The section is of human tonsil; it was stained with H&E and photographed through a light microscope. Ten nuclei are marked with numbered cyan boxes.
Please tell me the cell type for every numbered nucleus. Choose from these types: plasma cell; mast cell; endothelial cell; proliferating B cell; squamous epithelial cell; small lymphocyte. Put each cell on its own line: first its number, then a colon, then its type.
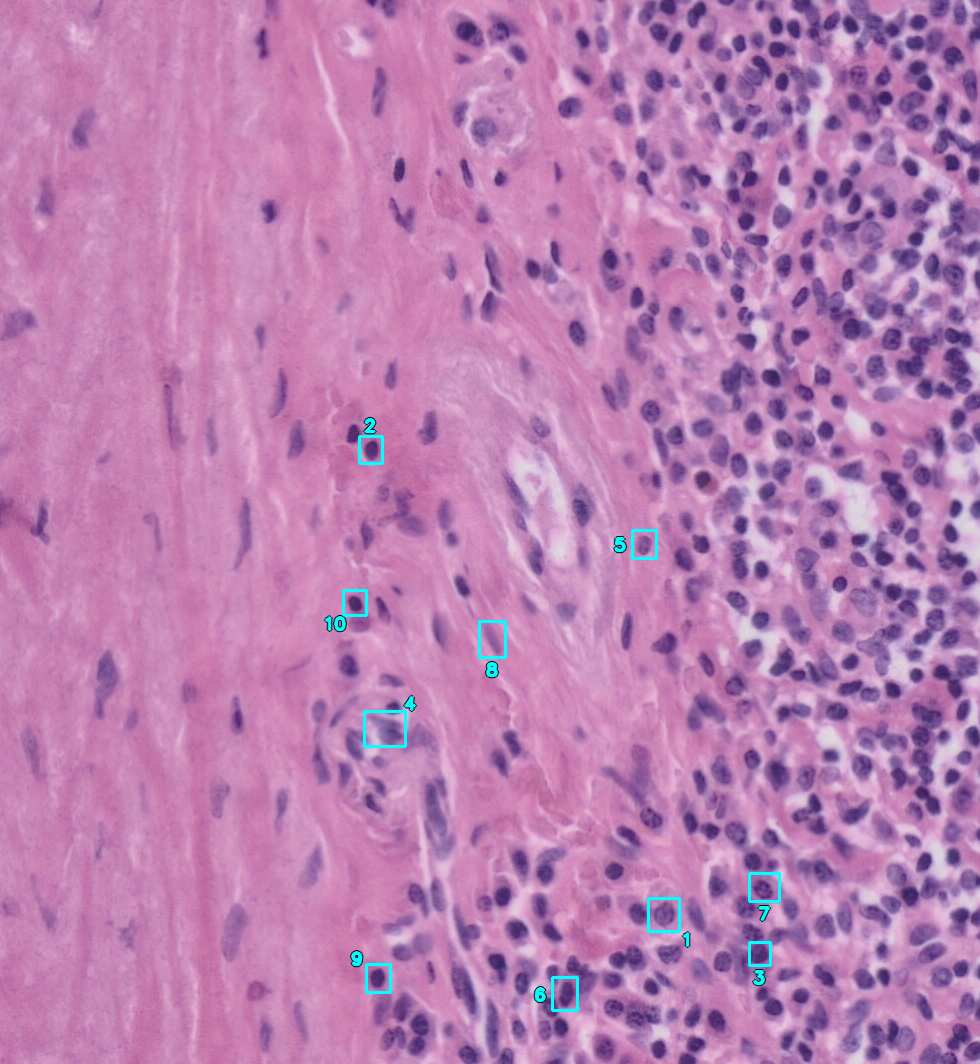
1: plasma cell
2: mast cell
3: plasma cell
4: endothelial cell
5: mast cell
6: plasma cell
7: plasma cell
8: endothelial cell
9: mast cell
10: mast cell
